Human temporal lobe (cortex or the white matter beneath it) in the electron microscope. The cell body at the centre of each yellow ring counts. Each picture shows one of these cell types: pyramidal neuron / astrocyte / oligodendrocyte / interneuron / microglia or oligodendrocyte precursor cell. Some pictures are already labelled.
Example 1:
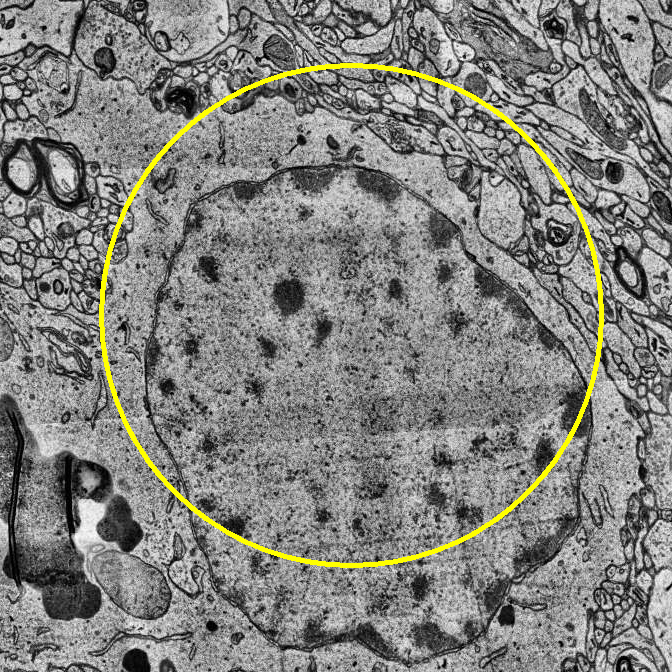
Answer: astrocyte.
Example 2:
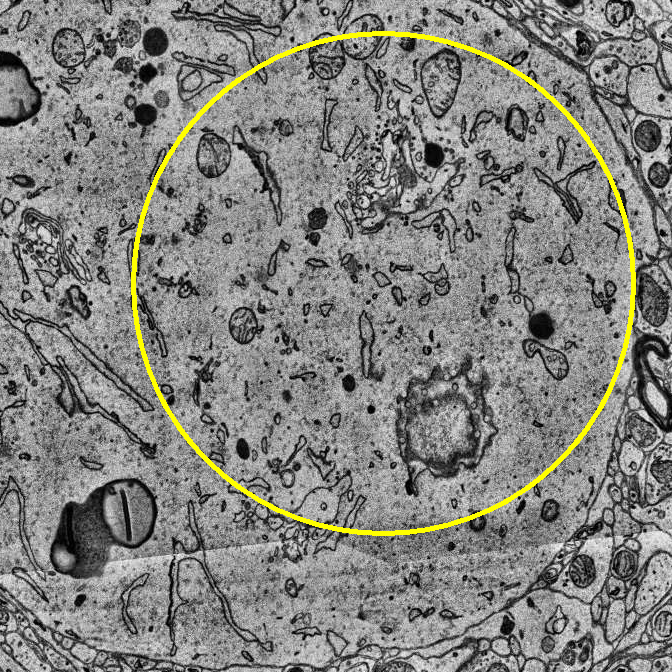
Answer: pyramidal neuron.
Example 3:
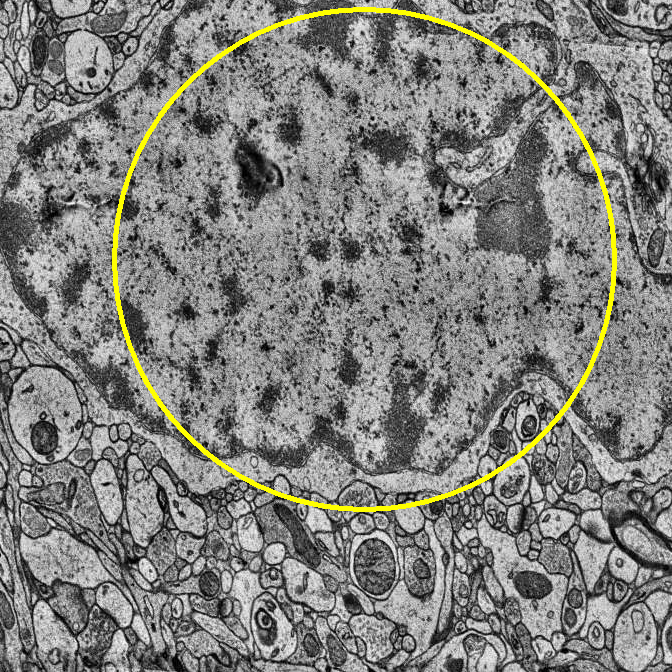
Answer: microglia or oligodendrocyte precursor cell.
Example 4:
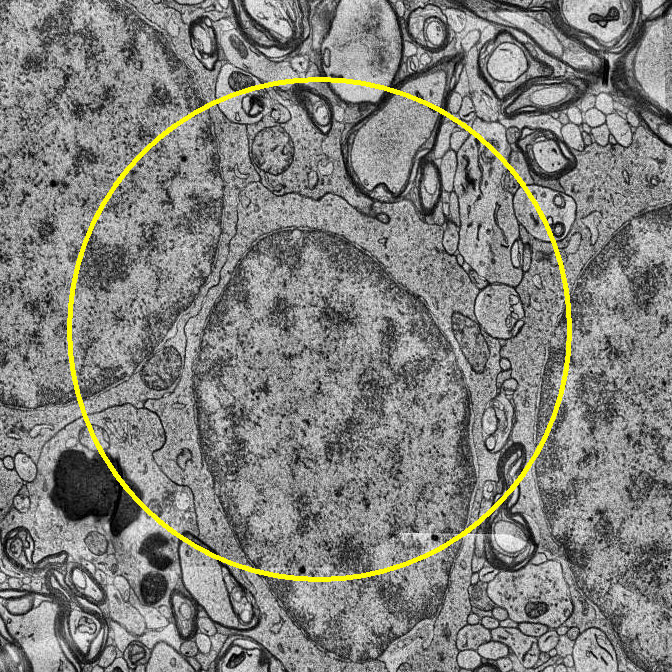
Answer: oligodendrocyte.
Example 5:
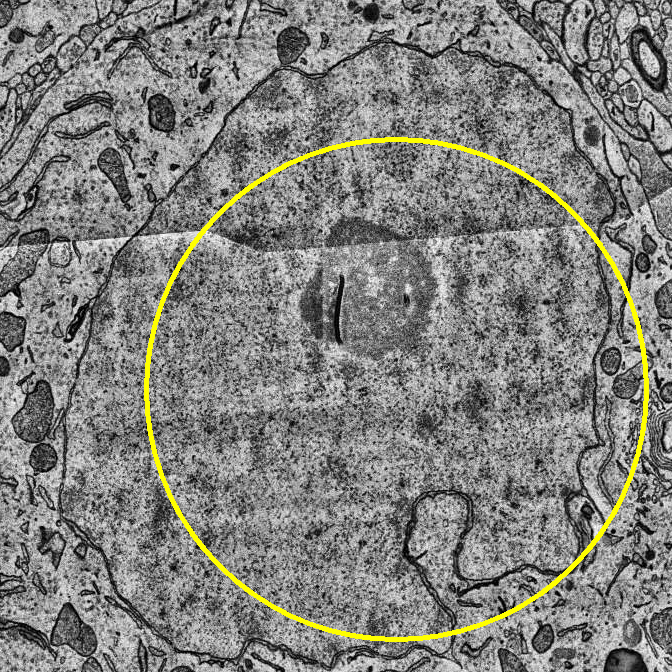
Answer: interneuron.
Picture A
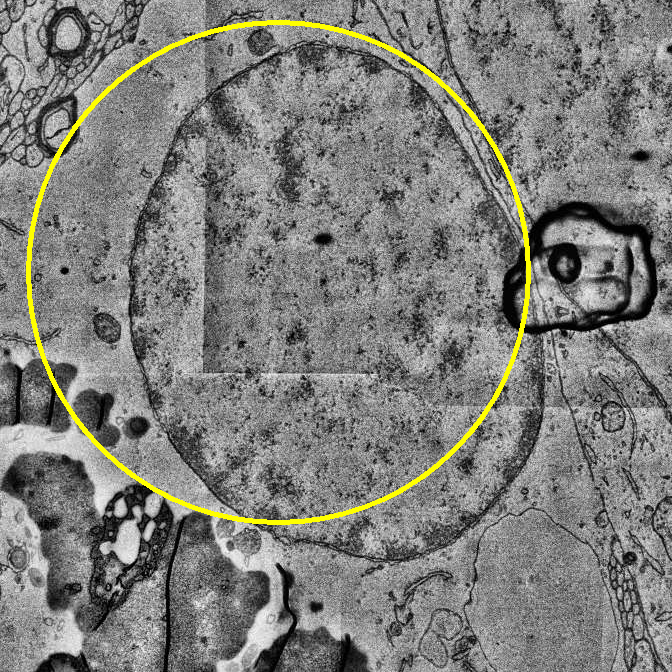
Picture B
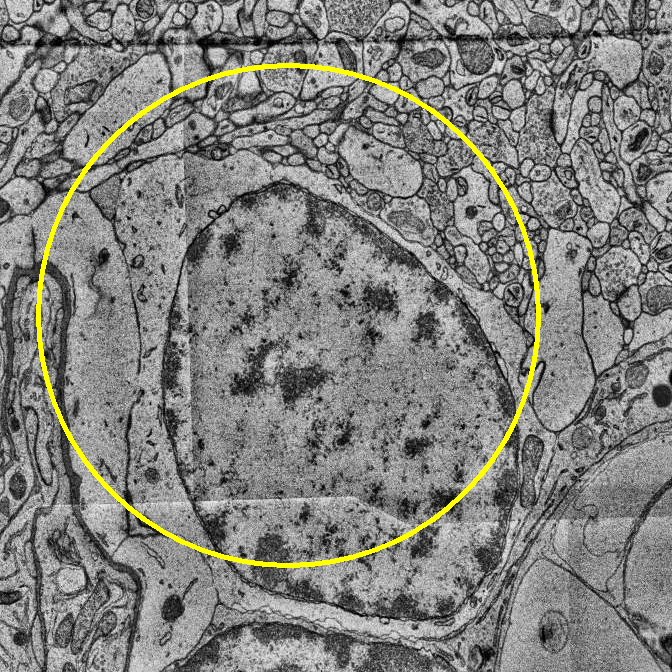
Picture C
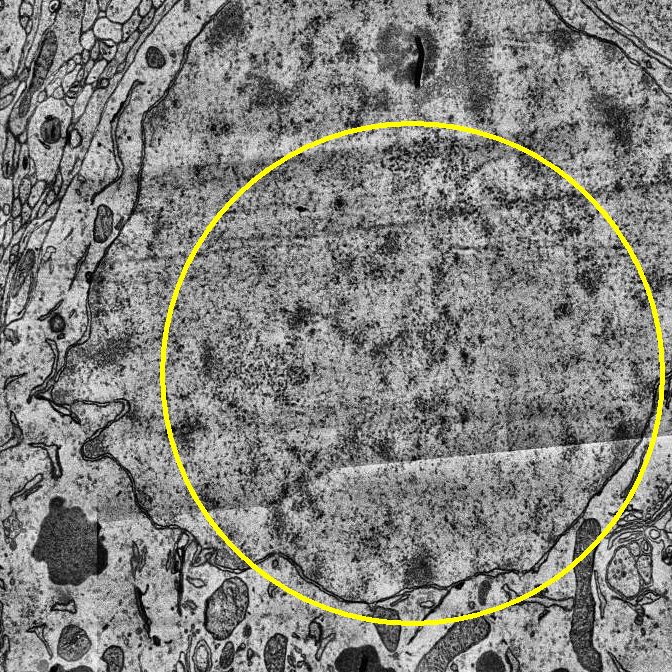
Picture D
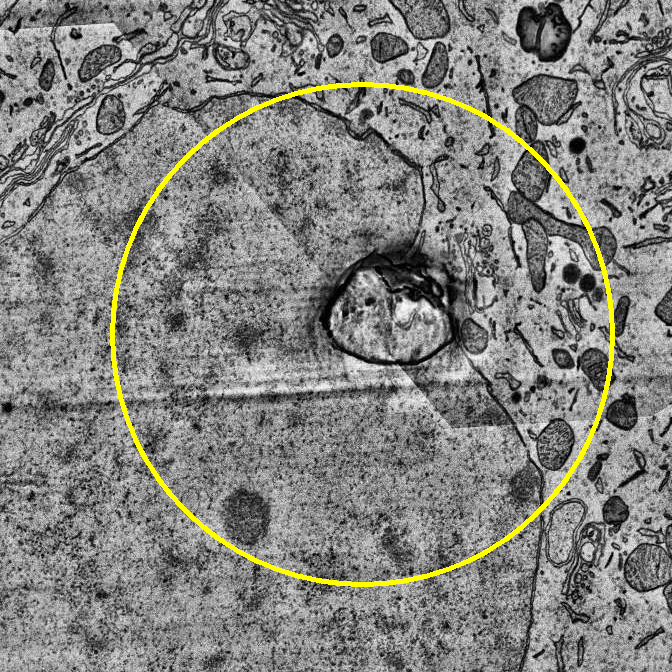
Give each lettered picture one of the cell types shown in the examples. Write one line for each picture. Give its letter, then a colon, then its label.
A: astrocyte.
B: microglia or oligodendrocyte precursor cell.
C: interneuron.
D: interneuron.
